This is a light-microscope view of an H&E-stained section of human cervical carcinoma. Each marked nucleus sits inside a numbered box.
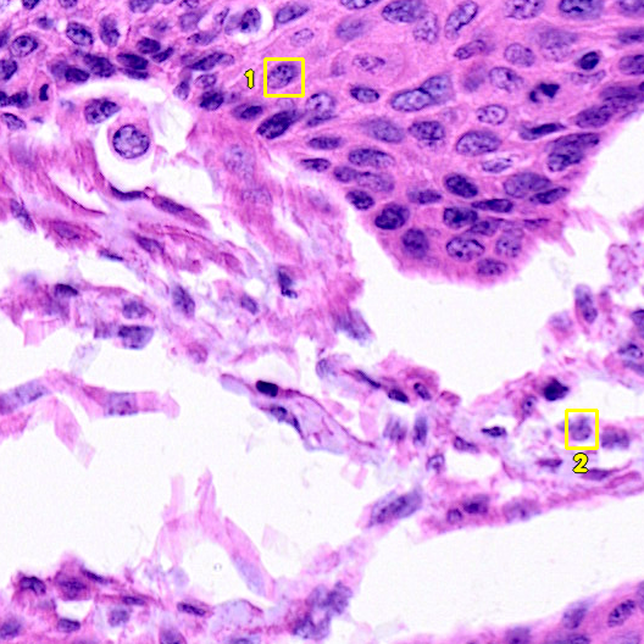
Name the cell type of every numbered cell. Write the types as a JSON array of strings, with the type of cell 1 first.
["squamous carcinoma cell", "macrophage or monocyte"]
